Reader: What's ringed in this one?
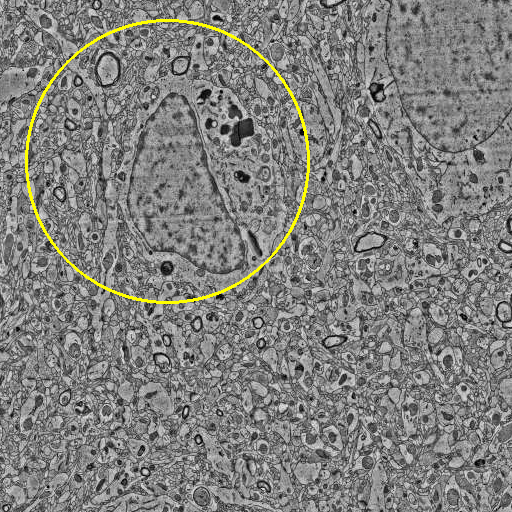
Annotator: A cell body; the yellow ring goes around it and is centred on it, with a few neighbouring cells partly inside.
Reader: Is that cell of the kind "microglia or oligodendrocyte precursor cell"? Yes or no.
yes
